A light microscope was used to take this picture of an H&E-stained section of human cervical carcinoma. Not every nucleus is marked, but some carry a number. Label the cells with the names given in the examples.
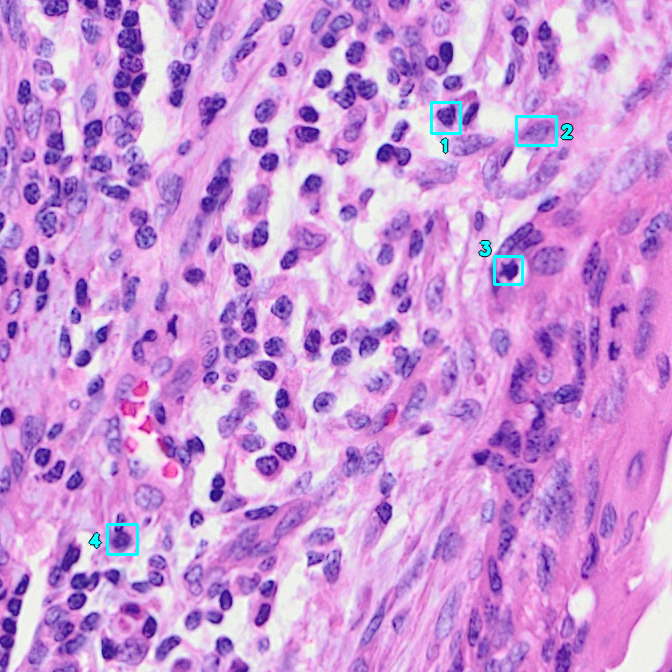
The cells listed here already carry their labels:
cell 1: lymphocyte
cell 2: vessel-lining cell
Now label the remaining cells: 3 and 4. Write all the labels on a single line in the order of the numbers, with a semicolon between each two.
lymphocyte; lymphocyte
